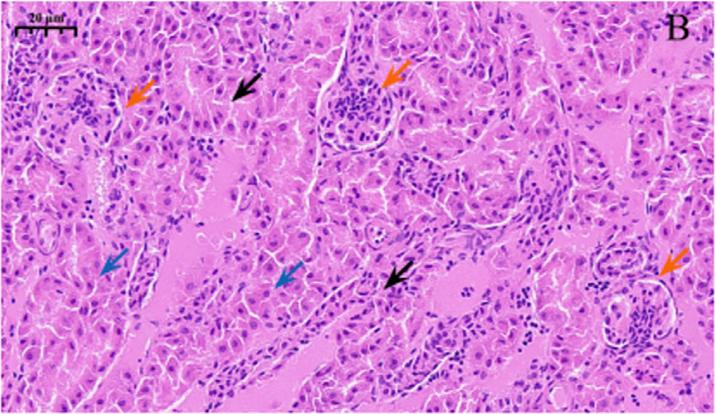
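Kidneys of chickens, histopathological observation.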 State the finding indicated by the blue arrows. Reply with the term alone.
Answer: Nucleus is dissolved.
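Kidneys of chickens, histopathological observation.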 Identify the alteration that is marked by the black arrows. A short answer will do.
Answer: Boundary before the renal tubules is unclear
